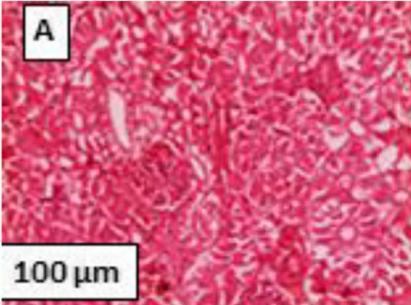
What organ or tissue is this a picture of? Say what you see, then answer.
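Densely packed small tubular profiles with lumens fill the section.
Kidney.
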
